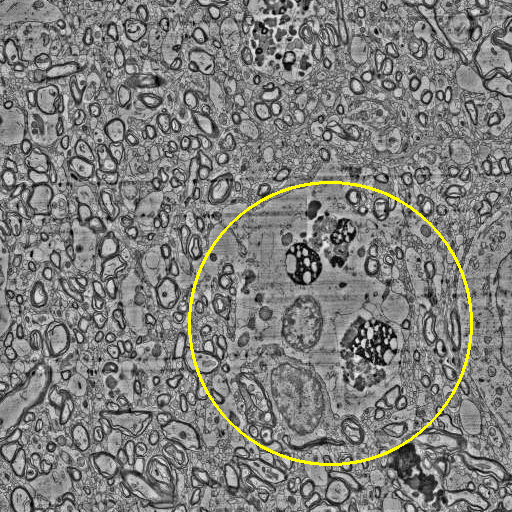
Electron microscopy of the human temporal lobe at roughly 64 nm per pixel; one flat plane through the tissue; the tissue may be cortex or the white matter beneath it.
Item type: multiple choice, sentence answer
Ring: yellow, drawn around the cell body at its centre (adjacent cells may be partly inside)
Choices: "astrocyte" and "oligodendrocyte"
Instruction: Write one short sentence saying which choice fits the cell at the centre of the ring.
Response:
This ring is drawn around an astrocyte.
